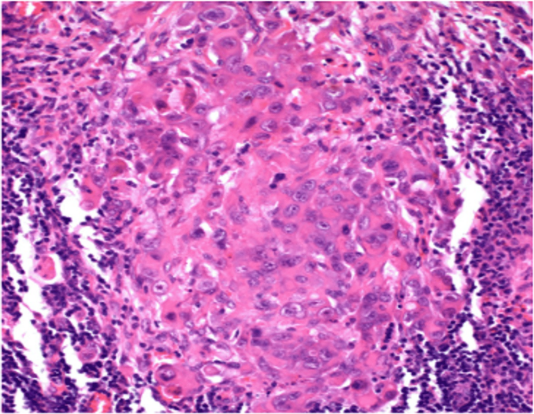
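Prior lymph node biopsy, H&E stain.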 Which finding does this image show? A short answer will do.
Metastasis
